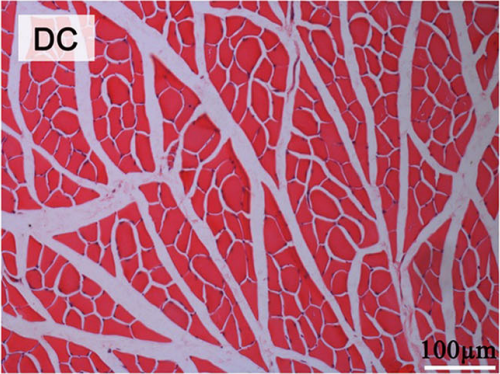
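This is a cross-section of skeletal muscle, showing many muscle fibers cut transversely as polygonal red-pink profiles. Compared with the scale bar, the fibers appear relatively small and numerous within the field. Thin pale lines outline each fiber, and broad pale branching bands separate the fibers into groups.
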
